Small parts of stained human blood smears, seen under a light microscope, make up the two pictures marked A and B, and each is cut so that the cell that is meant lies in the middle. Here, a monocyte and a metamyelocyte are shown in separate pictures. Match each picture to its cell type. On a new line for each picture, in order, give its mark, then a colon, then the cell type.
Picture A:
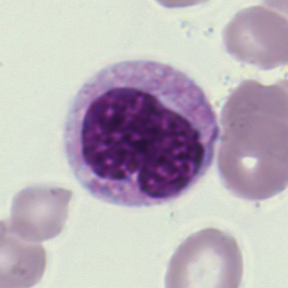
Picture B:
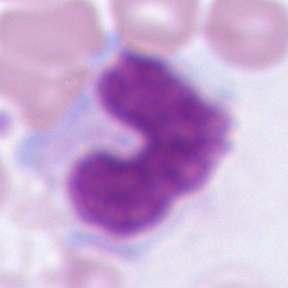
A: metamyelocyte
B: monocyte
